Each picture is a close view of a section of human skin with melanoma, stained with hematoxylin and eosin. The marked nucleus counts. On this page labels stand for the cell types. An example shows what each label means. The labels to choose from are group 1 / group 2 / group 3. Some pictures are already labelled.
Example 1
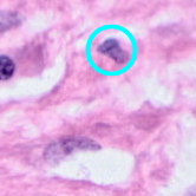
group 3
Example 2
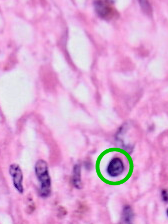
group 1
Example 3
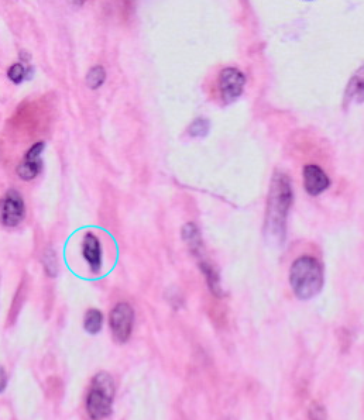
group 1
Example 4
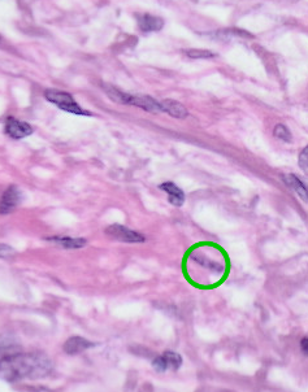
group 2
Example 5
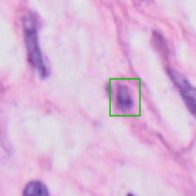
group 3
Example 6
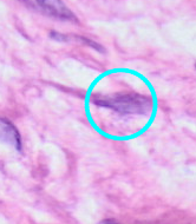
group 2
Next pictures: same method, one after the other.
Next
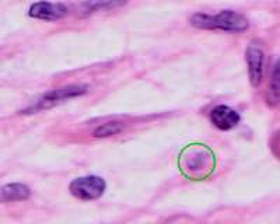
group 3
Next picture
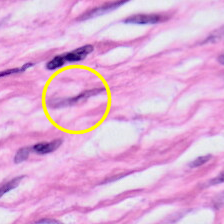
group 2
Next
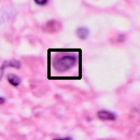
group 3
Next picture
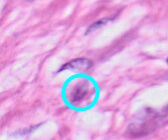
group 2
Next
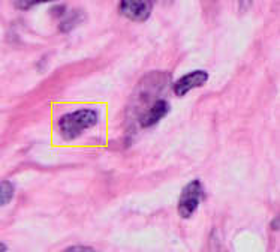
group 1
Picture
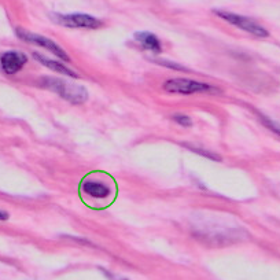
group 1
